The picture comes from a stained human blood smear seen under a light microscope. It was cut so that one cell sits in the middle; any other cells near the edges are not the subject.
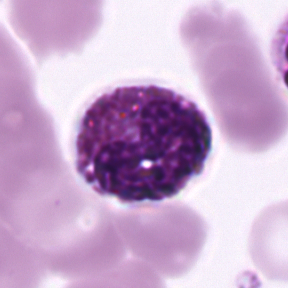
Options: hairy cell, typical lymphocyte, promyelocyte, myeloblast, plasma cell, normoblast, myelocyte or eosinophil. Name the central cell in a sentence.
This crop is built around an eosinophil at its centre.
